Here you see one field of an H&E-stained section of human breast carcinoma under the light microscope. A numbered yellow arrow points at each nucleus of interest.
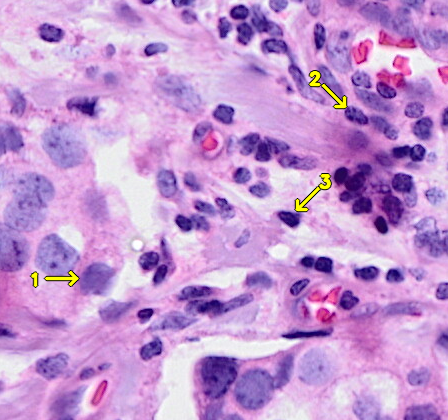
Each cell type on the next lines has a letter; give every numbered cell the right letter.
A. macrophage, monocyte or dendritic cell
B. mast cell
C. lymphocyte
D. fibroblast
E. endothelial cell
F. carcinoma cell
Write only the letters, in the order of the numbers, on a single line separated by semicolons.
F; C; C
